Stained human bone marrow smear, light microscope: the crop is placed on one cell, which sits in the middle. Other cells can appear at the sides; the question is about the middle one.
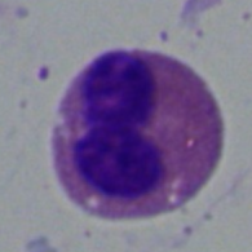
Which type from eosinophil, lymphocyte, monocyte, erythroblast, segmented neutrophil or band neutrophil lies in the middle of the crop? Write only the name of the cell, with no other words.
eosinophil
